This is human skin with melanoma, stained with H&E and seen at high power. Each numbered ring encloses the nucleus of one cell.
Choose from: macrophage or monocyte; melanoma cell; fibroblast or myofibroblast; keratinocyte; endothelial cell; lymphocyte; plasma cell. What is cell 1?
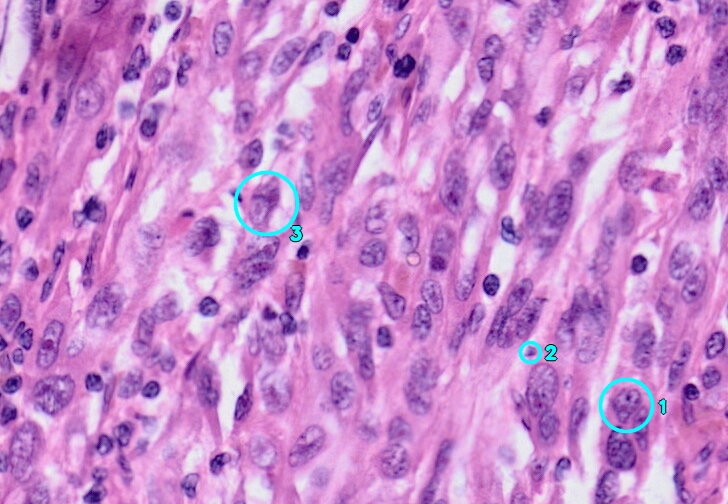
melanoma cell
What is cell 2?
lymphocyte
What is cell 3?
melanoma cell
